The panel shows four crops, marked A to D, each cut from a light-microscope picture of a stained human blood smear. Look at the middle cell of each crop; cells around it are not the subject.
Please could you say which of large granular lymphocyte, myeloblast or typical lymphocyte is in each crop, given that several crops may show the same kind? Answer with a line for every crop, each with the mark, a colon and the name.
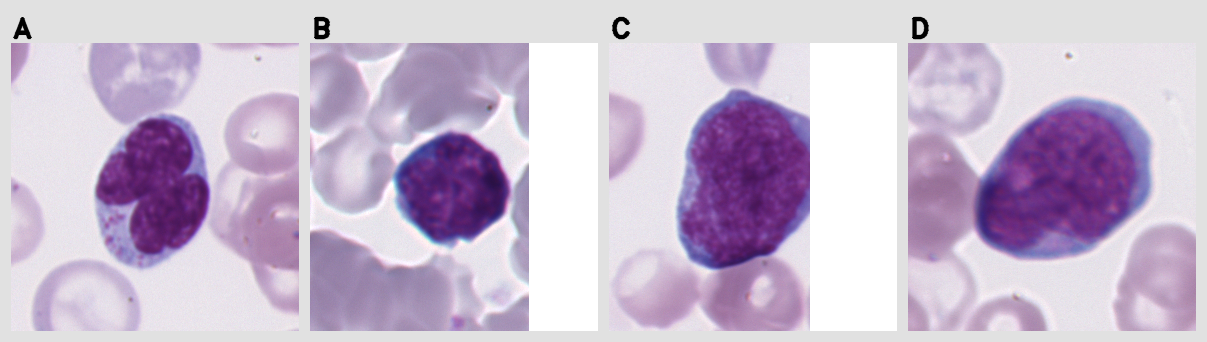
A: large granular lymphocyte
B: typical lymphocyte
C: myeloblast
D: myeloblast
